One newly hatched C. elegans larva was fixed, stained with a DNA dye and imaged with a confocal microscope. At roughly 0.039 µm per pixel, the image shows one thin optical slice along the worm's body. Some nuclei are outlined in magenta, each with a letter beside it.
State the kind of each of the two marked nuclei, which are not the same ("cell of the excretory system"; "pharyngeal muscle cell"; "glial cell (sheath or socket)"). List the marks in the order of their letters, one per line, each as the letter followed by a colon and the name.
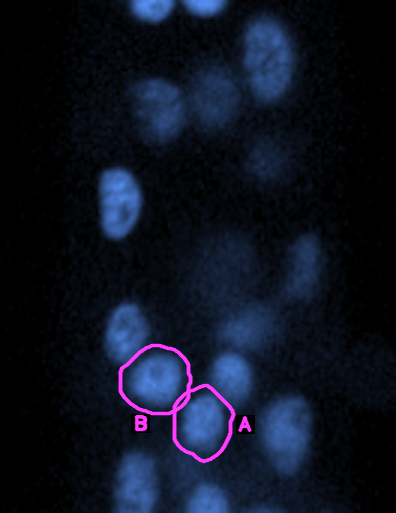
A: pharyngeal muscle cell
B: cell of the excretory system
